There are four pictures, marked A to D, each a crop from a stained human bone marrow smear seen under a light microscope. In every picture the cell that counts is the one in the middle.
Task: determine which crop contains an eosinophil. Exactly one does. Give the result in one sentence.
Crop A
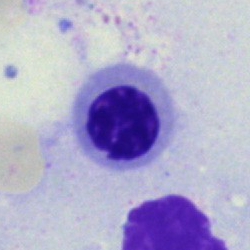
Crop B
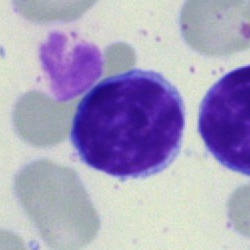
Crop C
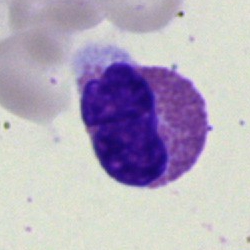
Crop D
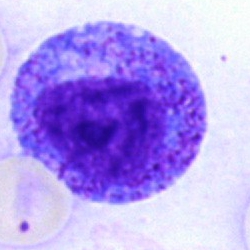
Selected crop: C, which is the one that shows an eosinophil.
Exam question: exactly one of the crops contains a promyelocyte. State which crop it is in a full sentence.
Within this set, crop D is the one with a promyelocyte at its center.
